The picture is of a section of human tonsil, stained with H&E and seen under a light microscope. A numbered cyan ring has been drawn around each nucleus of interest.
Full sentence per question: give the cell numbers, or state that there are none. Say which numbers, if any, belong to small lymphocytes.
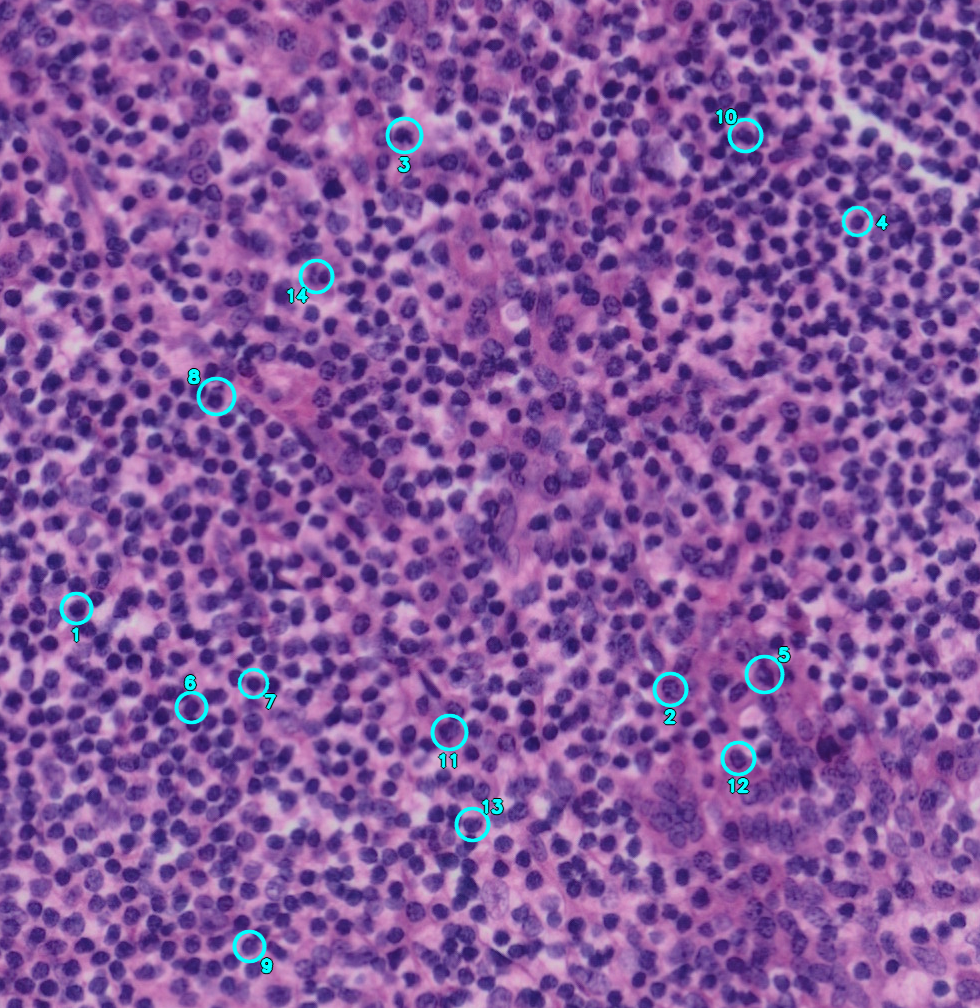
The cells given the numbers 1, 4, 6, 7, 8, 9, 10 and 13 are small lymphocytes.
